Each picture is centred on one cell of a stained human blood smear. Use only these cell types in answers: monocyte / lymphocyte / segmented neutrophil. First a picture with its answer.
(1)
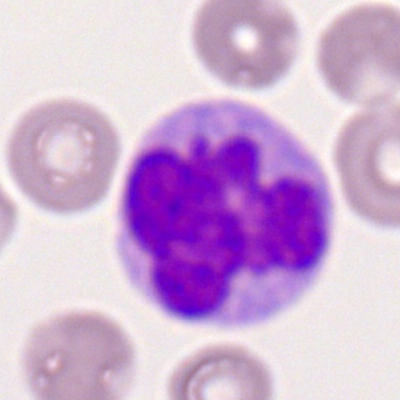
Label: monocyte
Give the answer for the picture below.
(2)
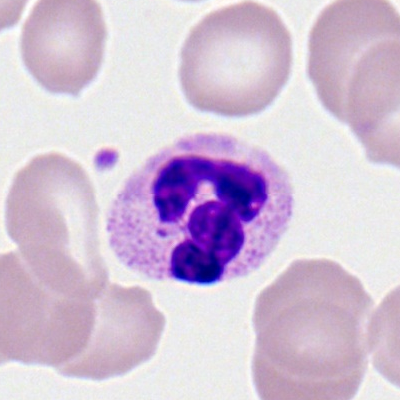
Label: segmented neutrophil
